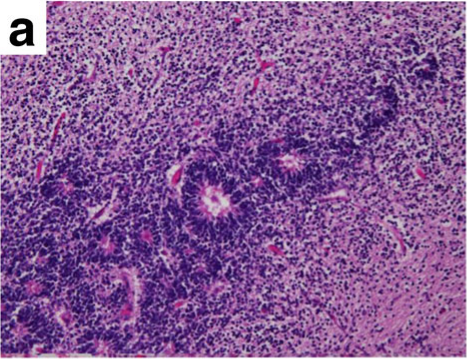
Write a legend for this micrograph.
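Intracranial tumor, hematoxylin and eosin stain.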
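This is immature neural tissue forming neural tubules. Dense sheets of small, darkly staining cells with crowded nuclei and scant cytoplasm form a band across the field. Within them, several rosette-like tubules are seen, in which cells are arranged radially around a small central lumen. The primitive cellular areas are surrounded by looser, paler pink tissue containing scattered nuclei and small vessels.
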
